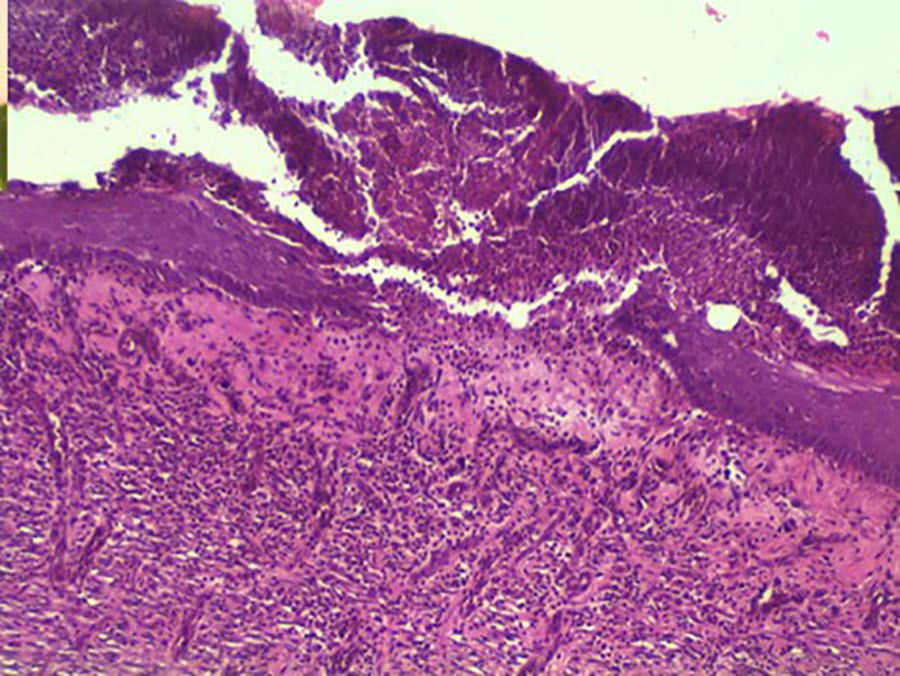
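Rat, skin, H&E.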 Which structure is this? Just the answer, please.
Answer: Serocellular crust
